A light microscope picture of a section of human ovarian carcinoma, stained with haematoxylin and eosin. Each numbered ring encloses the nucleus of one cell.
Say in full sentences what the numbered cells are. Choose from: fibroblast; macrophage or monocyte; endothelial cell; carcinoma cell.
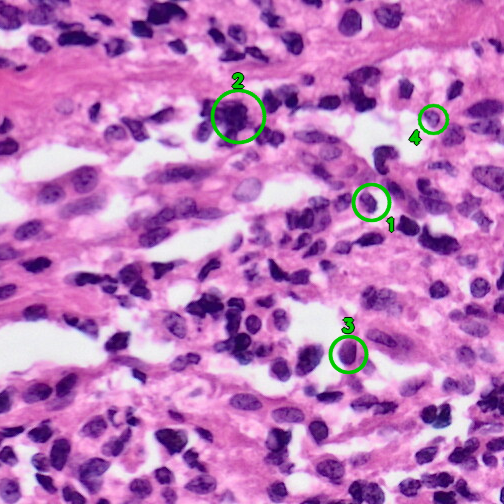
Cells 1, 2 and 3 are carcinoma cells. Cell 4 is a macrophage or monocyte.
